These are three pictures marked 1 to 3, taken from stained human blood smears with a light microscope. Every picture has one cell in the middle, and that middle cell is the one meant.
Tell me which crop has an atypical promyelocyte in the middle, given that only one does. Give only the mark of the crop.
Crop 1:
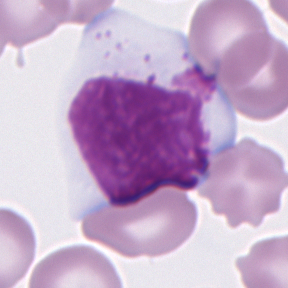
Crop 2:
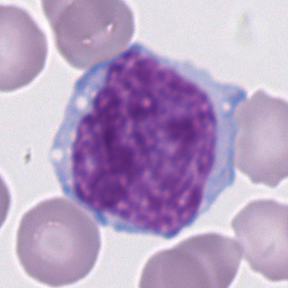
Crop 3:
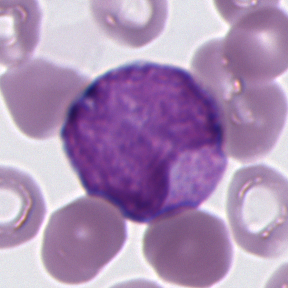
3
